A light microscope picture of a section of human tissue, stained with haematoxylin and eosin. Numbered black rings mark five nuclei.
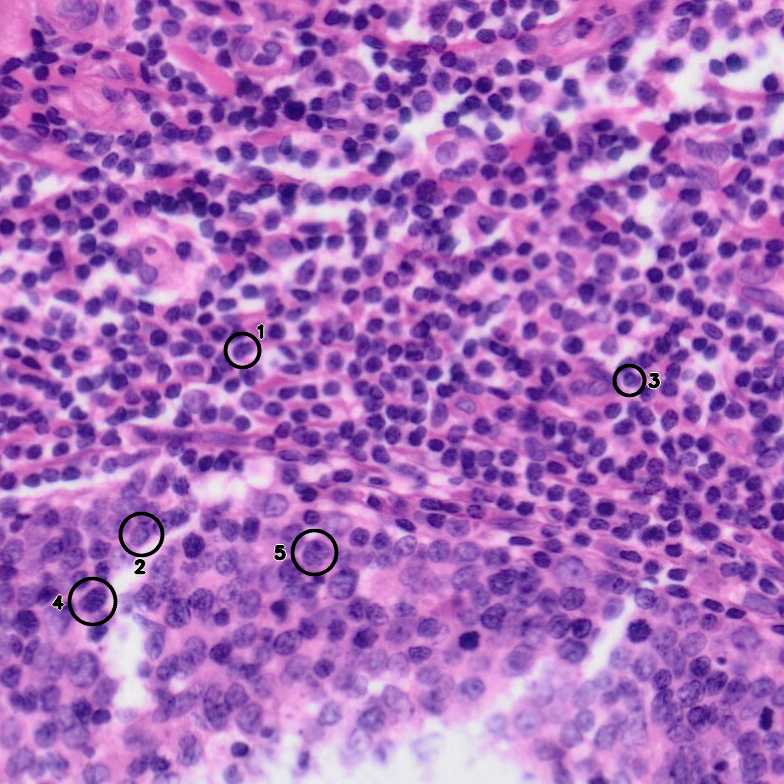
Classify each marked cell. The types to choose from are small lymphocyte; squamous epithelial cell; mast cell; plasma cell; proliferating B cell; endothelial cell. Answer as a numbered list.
1. small lymphocyte
2. proliferating B cell
3. small lymphocyte
4. proliferating B cell
5. proliferating B cell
